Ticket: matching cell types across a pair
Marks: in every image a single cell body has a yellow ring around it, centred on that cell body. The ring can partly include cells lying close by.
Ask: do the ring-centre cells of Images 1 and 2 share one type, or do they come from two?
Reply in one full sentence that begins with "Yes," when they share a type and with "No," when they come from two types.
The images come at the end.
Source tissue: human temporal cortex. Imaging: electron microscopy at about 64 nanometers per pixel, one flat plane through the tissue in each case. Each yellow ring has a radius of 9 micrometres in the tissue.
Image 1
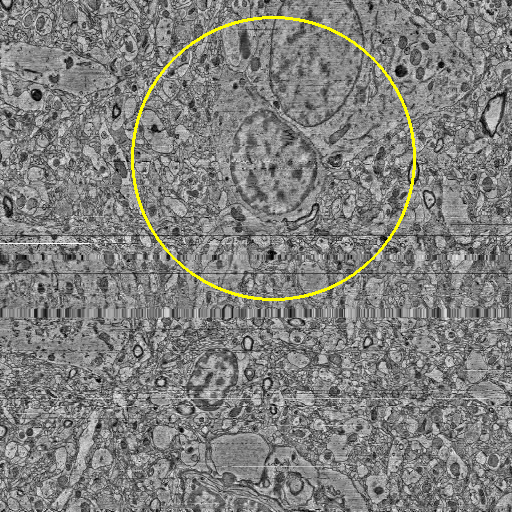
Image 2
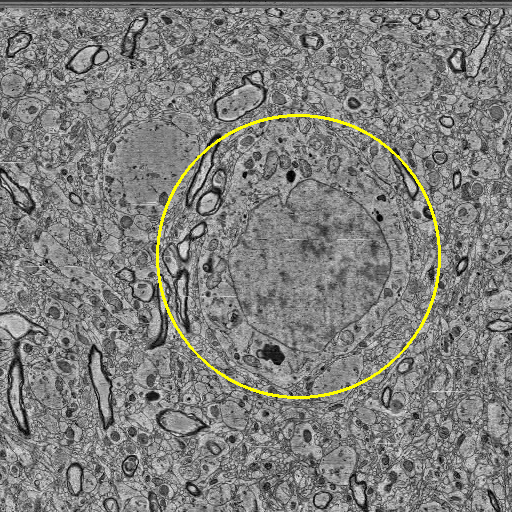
No, the cells in the centres of the rings in Image 1 and Image 2 come from two types.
